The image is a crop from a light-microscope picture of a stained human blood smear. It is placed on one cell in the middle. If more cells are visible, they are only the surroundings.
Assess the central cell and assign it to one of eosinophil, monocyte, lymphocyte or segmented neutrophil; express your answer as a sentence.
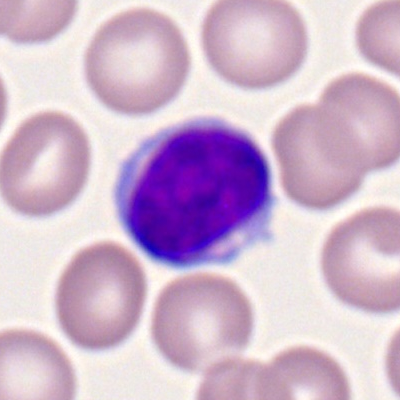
In the middle of this smear crop, the cell is a lymphocyte.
